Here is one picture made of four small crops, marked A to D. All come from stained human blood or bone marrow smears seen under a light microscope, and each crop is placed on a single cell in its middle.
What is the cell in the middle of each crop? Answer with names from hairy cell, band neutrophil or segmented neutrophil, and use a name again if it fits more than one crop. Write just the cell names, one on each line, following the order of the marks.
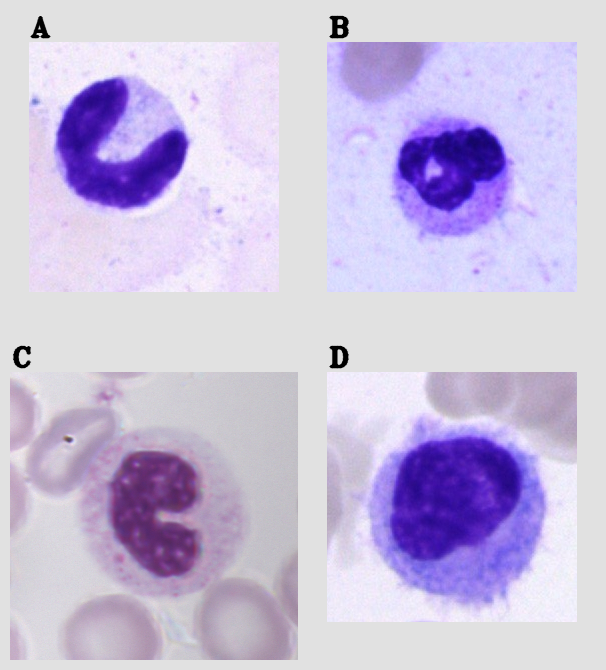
band neutrophil
segmented neutrophil
band neutrophil
hairy cell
